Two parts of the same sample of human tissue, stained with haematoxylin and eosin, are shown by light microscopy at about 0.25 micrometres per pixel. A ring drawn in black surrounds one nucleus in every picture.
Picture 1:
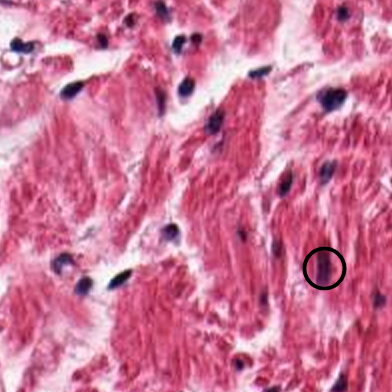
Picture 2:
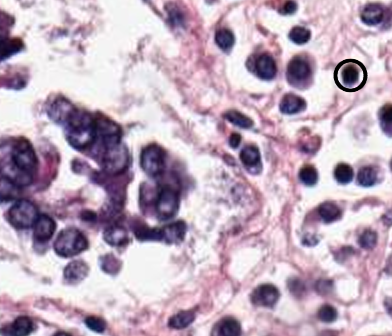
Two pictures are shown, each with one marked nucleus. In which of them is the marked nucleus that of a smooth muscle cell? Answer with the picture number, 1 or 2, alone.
1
